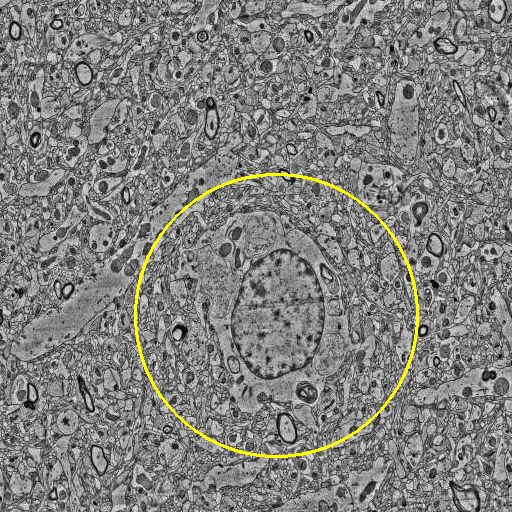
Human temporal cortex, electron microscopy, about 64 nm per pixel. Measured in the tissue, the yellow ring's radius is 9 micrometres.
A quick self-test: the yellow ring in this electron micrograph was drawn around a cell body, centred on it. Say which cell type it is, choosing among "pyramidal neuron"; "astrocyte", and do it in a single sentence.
The yellow-ringed cell is an astrocyte.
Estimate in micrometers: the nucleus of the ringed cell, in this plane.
In this plane the nucleus is about 8 micrometres by 6.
